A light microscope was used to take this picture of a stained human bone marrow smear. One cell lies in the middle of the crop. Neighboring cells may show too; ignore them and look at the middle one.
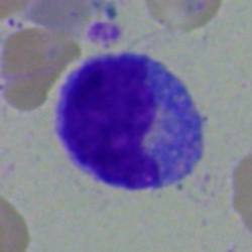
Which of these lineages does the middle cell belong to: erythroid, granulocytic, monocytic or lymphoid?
monocytic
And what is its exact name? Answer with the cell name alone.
monocyte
